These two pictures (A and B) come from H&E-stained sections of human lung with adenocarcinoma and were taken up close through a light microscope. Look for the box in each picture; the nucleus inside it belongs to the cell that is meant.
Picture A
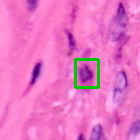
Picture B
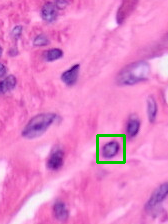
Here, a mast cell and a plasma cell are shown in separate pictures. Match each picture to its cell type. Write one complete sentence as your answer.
Picture B shows a mast cell, while picture A shows a plasma cell.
